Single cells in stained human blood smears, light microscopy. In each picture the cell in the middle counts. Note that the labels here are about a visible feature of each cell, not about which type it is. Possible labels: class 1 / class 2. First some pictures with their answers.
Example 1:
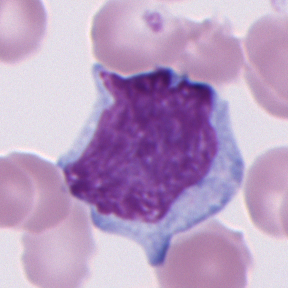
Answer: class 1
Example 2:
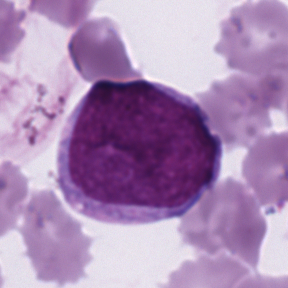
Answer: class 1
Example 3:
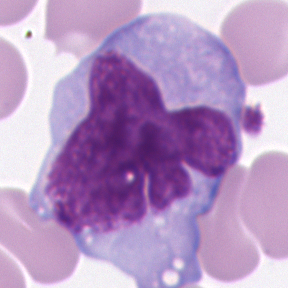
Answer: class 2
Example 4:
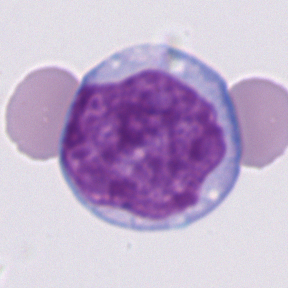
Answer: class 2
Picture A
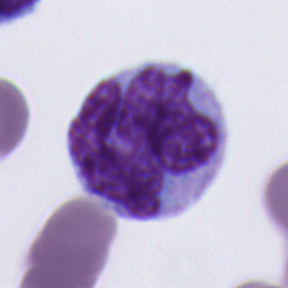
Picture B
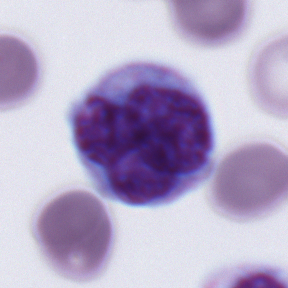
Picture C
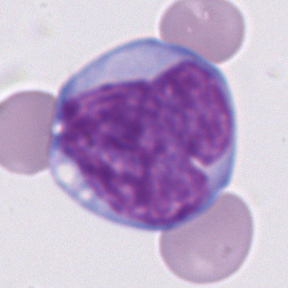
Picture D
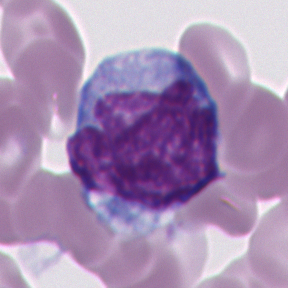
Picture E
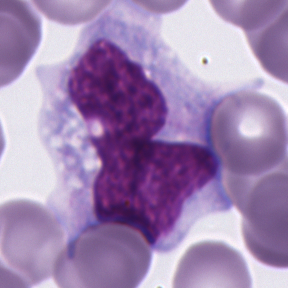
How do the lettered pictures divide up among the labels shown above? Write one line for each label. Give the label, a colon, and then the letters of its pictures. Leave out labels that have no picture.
class 1: A, B
class 2: C, D, E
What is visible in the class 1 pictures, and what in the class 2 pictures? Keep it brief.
class 1, no vacuoles; class 2, vacuoles present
